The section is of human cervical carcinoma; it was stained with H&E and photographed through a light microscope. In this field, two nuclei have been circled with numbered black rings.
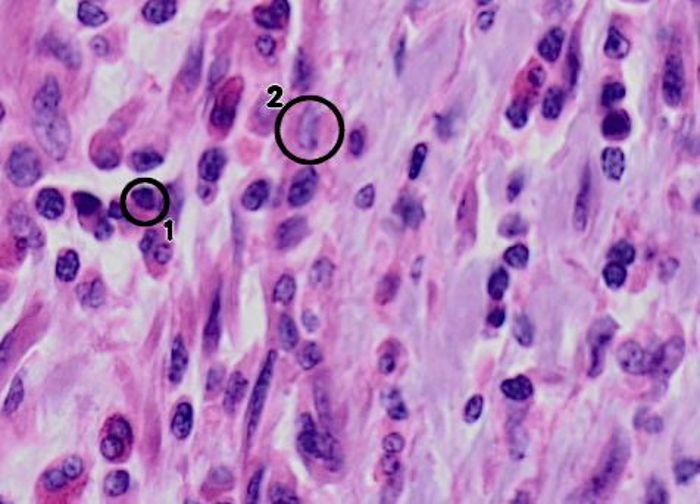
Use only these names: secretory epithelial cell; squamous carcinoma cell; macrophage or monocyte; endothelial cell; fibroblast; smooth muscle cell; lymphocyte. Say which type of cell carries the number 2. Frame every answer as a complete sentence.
Here, the cell given the number 2 is an endothelial cell.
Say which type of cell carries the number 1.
The cell with the number 1 is a lymphocyte.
